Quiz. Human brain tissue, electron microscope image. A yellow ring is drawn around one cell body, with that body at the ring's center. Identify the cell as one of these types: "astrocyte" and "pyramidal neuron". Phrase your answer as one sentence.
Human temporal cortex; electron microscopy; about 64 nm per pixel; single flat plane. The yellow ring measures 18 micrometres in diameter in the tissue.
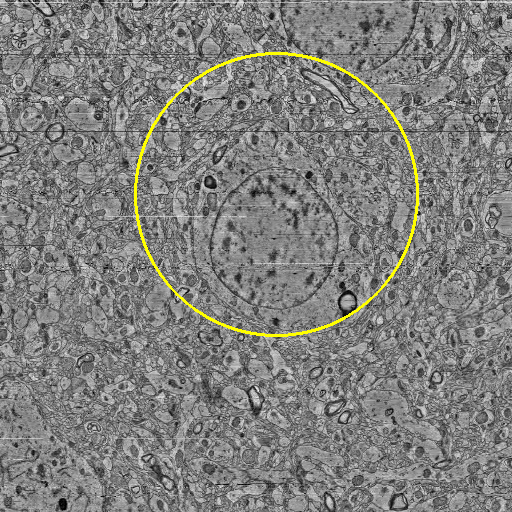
At the center of the ring sits a pyramidal neuron.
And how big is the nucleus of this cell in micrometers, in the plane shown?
Roughly 9 micrometers across, in this plane.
